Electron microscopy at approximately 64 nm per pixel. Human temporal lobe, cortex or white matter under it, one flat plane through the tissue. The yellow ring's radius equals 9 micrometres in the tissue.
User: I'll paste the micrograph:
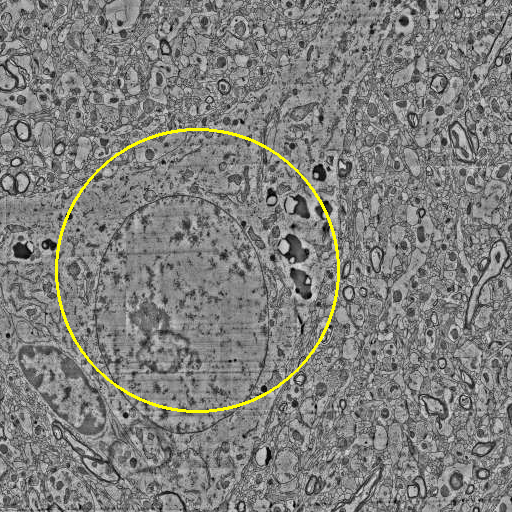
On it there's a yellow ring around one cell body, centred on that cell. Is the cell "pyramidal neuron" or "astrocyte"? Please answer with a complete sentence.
The cell ringed in yellow is a pyramidal neuron.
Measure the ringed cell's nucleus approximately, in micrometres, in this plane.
Approximately 15 micrometres long and 12 micrometres wide, in this plane.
